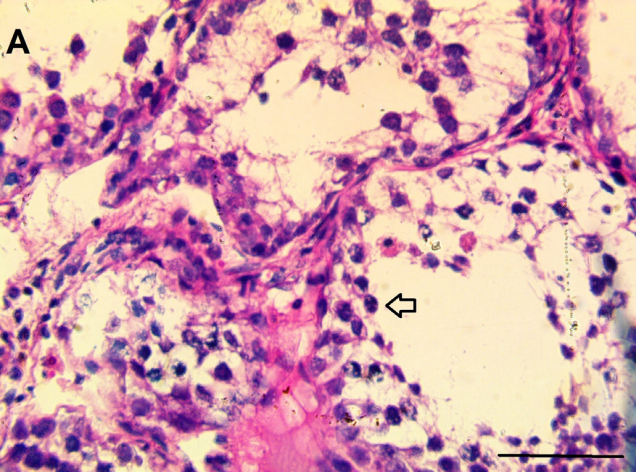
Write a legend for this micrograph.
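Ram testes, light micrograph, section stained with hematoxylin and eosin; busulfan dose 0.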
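Seminiferous tubules of an immature testis are cut across, lined by an epithelium of germ cells with round, dark purple nuclei and pale, loosely textured cytoplasm. The most advanced germ cells are spermatocytes, rounded cells with large round nuclei that lie within the epithelium toward the lumen. The tubules have open lumina and contain no elongated spermatids or spermatozoa. Between the tubules lies pink-stained interstitial connective tissue with flattened, elongated nuclei.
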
